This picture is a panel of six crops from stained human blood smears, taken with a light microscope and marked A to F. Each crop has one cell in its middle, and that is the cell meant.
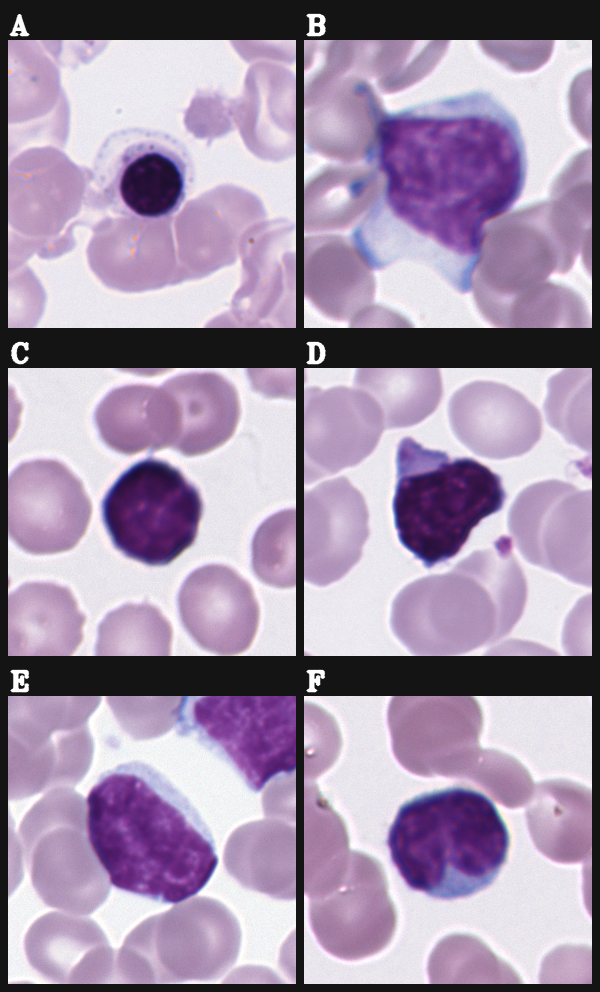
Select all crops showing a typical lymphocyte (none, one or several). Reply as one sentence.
With regard to crops C, D, E and F, the central cells are typical lymphocytes.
